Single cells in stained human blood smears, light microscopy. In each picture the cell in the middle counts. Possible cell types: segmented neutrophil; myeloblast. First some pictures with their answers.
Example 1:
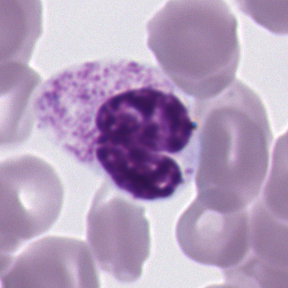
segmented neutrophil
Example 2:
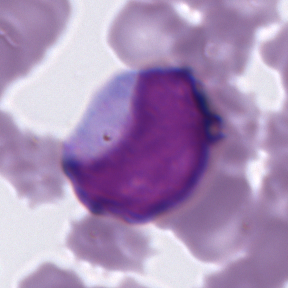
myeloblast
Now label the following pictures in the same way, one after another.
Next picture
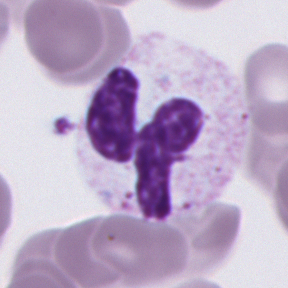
segmented neutrophil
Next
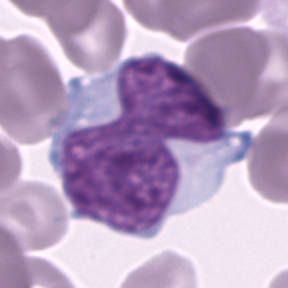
myeloblast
